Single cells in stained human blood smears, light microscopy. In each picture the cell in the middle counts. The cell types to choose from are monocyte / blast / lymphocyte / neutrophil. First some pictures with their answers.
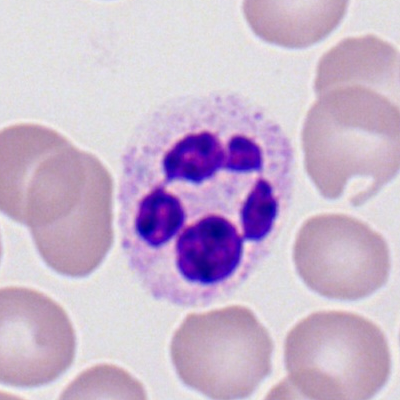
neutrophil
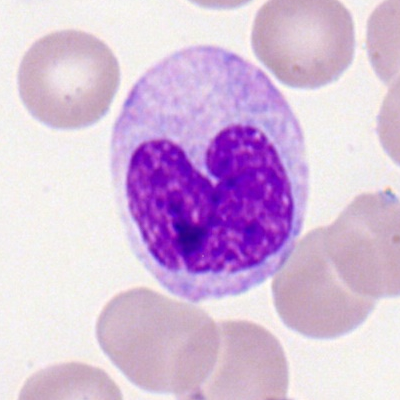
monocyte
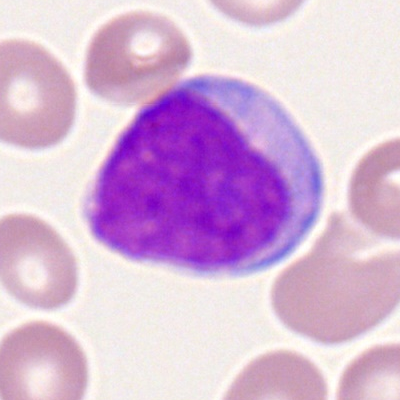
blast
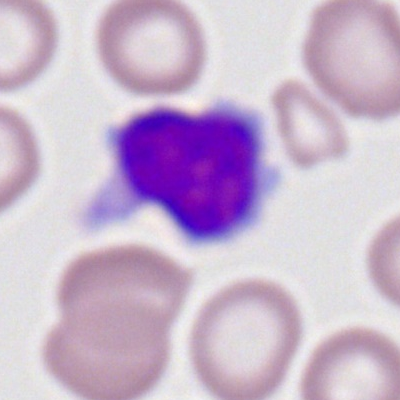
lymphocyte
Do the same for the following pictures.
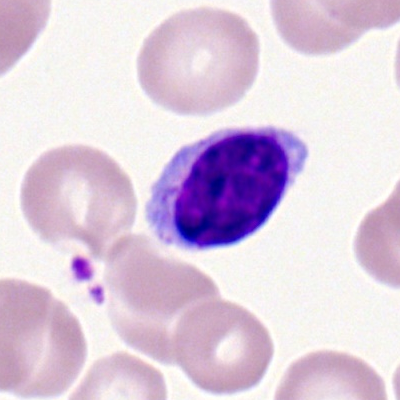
lymphocyte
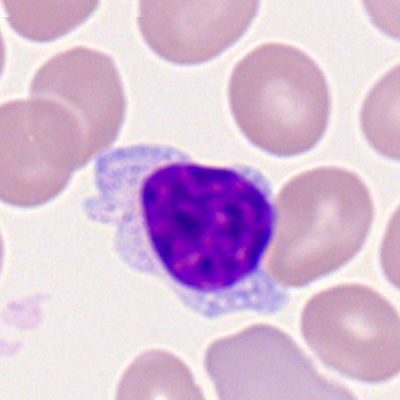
lymphocyte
